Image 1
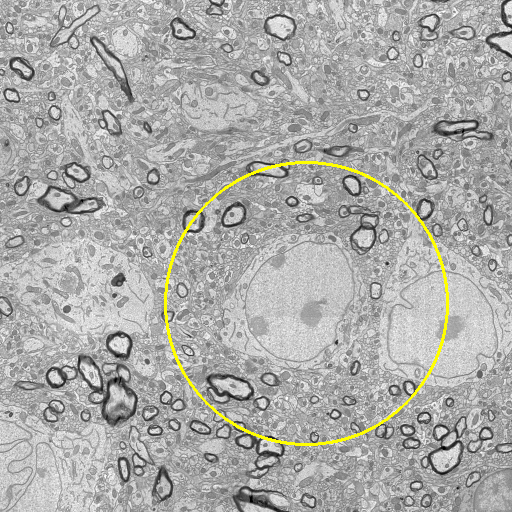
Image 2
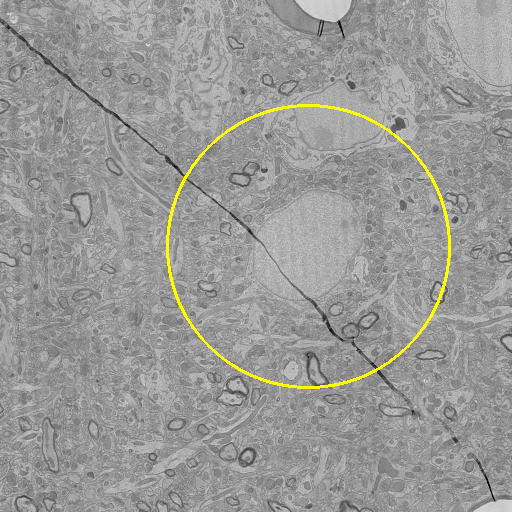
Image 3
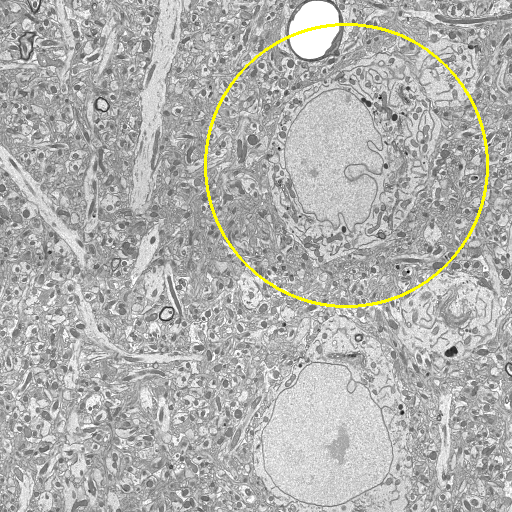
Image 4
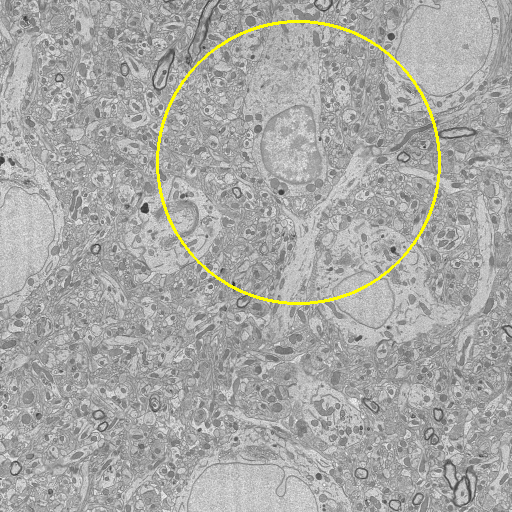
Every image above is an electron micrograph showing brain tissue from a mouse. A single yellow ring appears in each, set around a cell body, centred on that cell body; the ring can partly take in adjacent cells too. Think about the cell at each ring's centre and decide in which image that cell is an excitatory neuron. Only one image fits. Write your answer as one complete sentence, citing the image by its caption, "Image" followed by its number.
Image 1 is the one whose ringed central cell fits the description.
